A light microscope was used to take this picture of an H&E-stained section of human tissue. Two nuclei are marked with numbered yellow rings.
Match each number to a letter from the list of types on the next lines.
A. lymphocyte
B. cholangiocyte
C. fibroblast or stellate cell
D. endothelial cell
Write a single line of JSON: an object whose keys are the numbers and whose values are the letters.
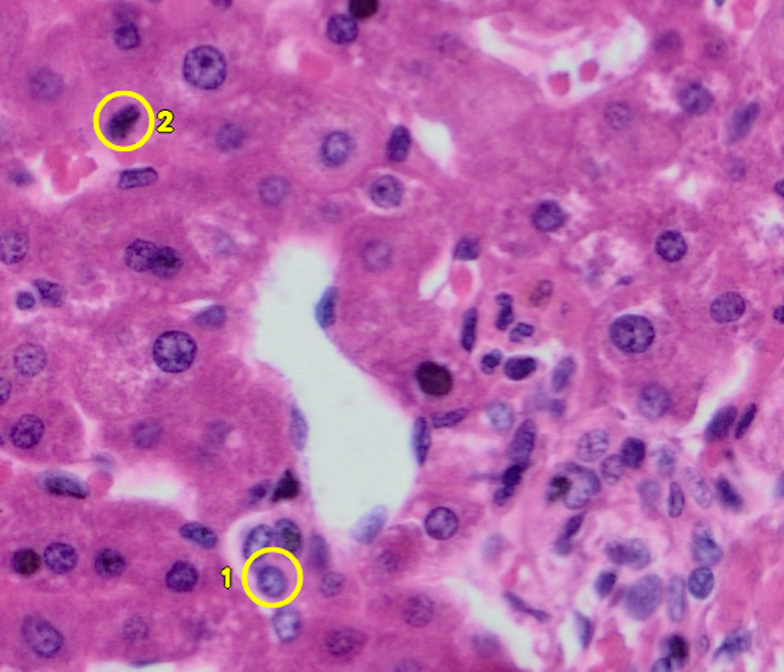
{"1": "B", "2": "C"}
